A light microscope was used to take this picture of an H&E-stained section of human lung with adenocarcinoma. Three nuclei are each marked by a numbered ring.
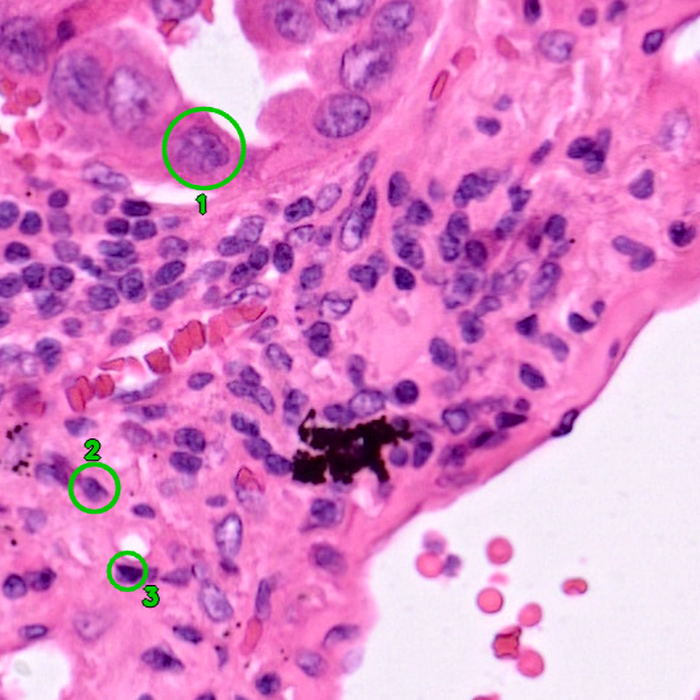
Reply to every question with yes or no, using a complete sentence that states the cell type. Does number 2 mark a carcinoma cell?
No, the marked cell 2 is not a carcinoma cell, being instead a lymphocyte.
